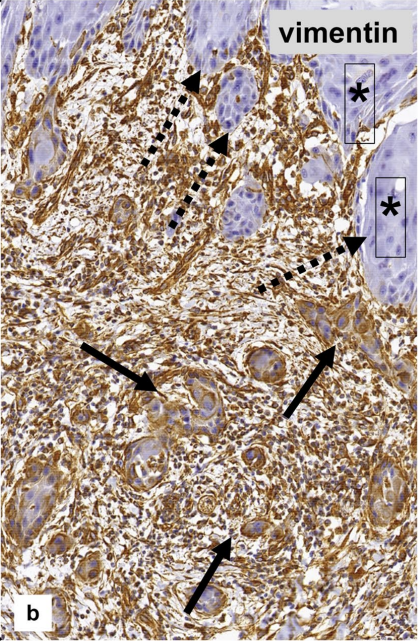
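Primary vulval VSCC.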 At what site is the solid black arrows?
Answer: Front of invasion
